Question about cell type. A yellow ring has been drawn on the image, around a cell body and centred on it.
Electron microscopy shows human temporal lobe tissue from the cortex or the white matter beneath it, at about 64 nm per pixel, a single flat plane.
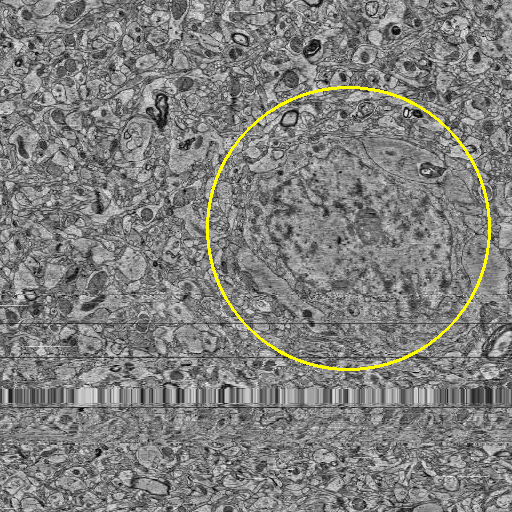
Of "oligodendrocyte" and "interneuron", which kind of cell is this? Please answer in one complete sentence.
At the centre of the ring lies an interneuron.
